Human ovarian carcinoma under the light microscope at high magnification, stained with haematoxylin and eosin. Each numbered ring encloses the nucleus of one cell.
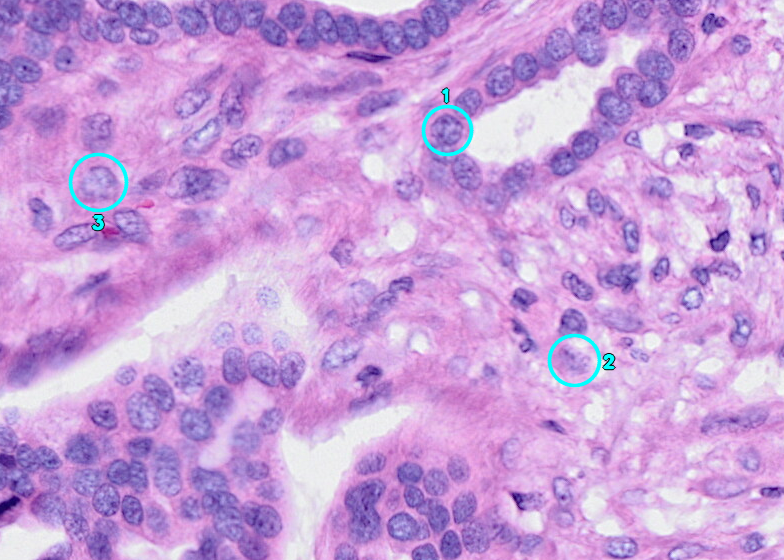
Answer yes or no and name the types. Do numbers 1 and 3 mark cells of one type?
No, cell 1 is identified as a carcinoma cell, and cell 3 is identified as a fibroblast.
